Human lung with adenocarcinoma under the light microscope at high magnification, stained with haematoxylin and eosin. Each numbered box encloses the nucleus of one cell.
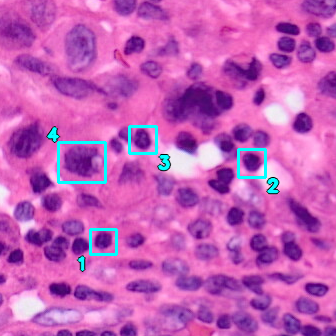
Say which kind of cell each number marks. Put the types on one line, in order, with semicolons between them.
lymphocyte; lymphocyte; lymphocyte; carcinoma cell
